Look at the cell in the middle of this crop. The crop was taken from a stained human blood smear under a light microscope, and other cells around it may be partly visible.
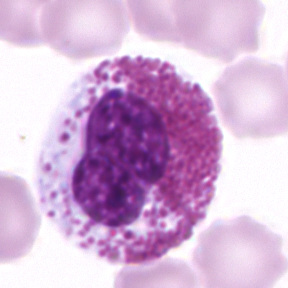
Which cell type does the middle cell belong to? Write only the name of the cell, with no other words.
eosinophil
